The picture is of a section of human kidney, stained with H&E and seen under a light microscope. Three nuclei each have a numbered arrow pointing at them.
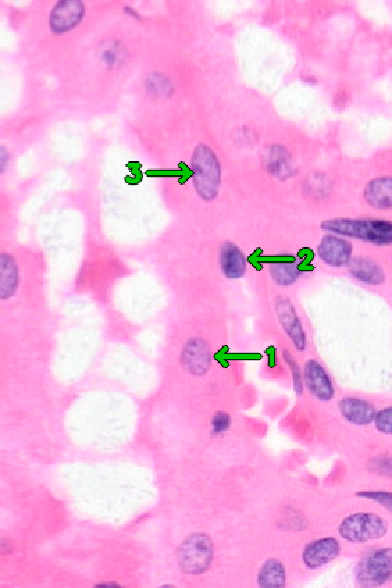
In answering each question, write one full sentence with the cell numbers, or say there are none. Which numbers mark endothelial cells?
Among the numbered cells, cell 2 alone is an endothelial cell.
